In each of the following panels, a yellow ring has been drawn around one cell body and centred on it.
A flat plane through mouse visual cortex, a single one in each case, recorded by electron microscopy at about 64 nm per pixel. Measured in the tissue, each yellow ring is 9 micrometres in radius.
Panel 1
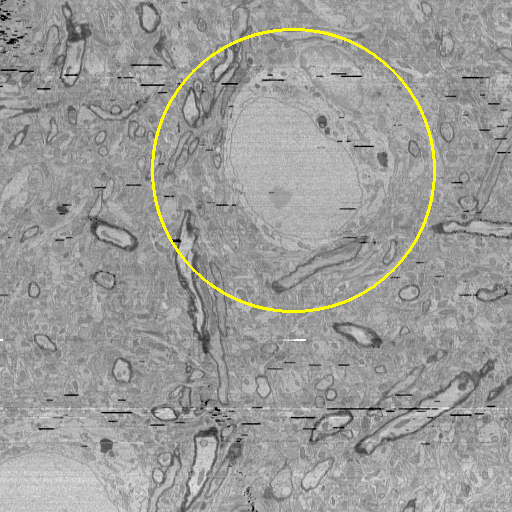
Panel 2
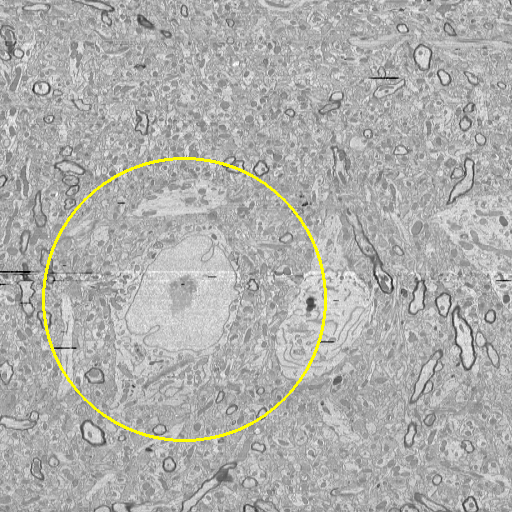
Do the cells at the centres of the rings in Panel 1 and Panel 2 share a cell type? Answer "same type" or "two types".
two types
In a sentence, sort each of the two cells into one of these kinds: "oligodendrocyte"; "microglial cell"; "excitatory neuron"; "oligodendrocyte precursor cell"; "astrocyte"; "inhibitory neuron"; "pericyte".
The first of the two cells is an excitatory neuron, and the second is an inhibitory neuron.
